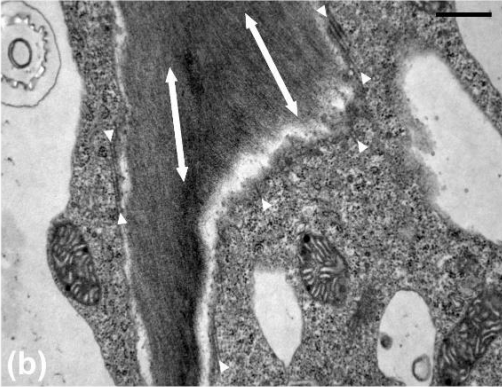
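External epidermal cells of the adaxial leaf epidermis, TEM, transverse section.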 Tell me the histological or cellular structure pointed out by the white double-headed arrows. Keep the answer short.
Cellulose microfibrils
